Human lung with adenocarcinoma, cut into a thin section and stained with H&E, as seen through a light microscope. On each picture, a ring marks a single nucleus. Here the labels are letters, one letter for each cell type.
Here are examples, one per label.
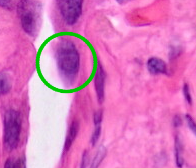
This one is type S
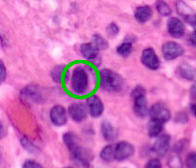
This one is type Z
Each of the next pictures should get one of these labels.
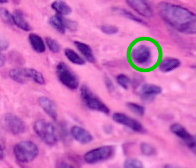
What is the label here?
type Z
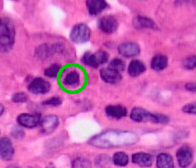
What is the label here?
type Z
